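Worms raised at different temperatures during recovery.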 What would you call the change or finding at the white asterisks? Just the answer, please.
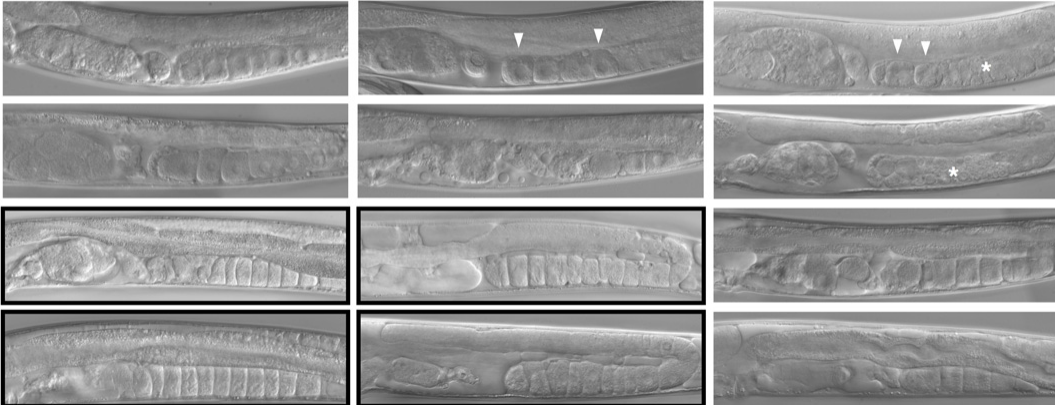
disorganized regions of the proximal gonad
